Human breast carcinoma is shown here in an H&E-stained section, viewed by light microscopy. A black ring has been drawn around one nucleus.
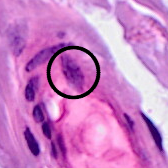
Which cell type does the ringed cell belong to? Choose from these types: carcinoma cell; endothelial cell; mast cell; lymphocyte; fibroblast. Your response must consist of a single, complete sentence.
Speaking plainly, the ringed cell is nothing other than an endothelial cell.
